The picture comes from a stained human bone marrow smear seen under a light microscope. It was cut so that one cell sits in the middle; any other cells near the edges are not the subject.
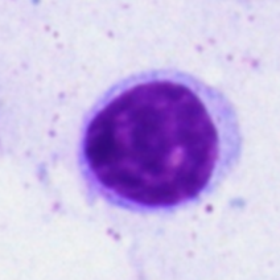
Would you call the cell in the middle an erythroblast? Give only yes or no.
no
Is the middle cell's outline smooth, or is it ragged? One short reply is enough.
Nothing juts out from the margin, which is smooth throughout.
